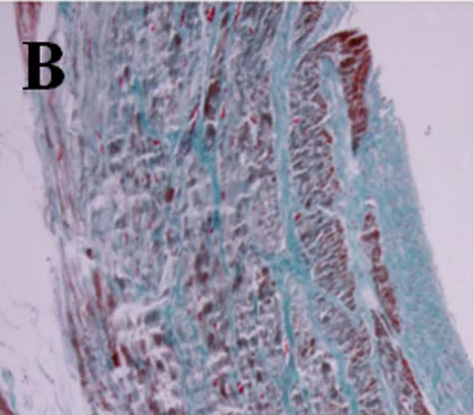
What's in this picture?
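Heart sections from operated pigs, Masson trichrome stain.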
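Strands of blue-green fibrous tissue run between and around the red-brown muscle bundles, separating them. Along one surface of the tissue lies a broad band of blue-green fibrous tissue with few muscle cells in it.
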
